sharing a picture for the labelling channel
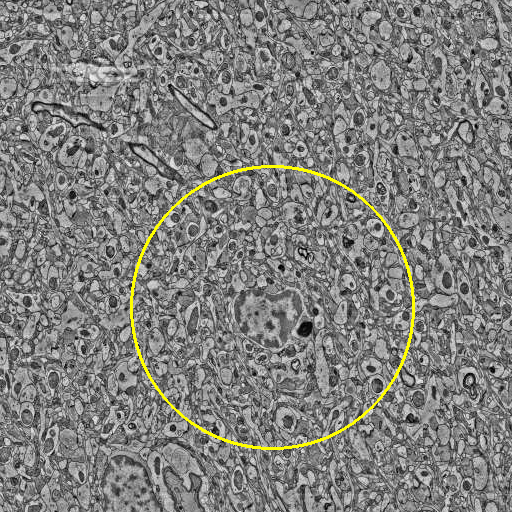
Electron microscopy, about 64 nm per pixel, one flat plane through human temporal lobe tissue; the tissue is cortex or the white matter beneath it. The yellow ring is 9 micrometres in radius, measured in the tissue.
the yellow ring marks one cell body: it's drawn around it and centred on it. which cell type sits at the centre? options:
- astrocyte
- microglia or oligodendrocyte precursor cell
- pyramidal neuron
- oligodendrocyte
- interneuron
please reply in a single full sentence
In the picture, the cell at the ring's centre is a microglial cell or oligodendrocyte precursor cell, going by the list.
